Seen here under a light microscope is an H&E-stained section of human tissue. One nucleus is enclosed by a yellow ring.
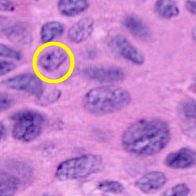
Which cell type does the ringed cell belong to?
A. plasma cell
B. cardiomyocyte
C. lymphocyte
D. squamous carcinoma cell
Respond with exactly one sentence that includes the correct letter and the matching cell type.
Option D is right, and the ringed cell is a squamous carcinoma cell.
